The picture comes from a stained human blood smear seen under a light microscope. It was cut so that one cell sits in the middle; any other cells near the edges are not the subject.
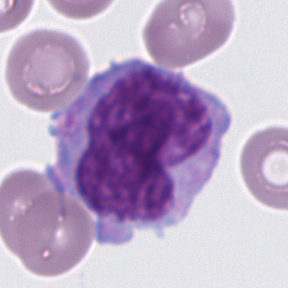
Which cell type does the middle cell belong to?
atypical promyelocyte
